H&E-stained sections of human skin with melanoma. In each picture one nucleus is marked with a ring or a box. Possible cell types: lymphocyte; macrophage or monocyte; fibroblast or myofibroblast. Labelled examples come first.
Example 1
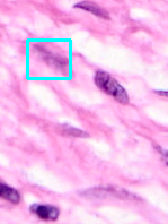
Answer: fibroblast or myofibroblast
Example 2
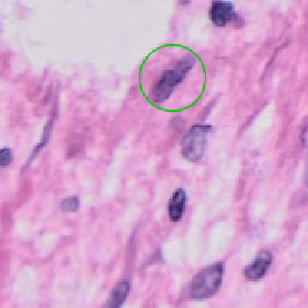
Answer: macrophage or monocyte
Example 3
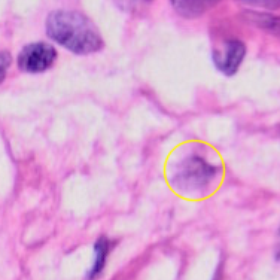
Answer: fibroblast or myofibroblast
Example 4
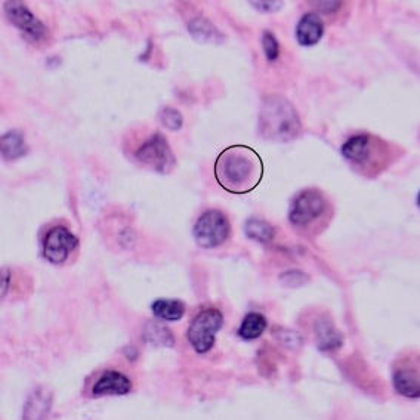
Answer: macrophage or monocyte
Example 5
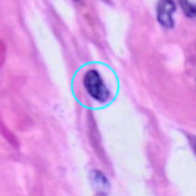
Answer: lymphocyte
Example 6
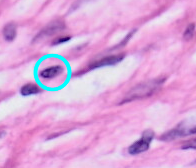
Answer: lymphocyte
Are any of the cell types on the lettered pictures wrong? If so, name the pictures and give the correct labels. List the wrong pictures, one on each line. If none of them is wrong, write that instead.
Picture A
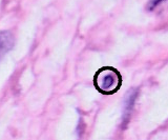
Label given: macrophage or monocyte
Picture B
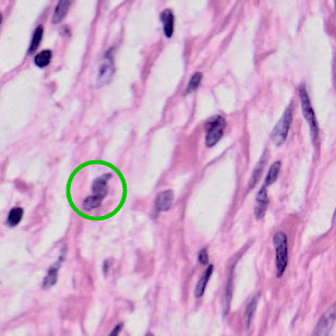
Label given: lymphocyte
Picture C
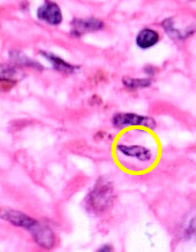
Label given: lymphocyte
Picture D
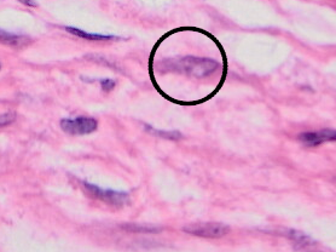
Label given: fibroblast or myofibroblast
Wrong: B (lymphocyte); correct: macrophage or monocyte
